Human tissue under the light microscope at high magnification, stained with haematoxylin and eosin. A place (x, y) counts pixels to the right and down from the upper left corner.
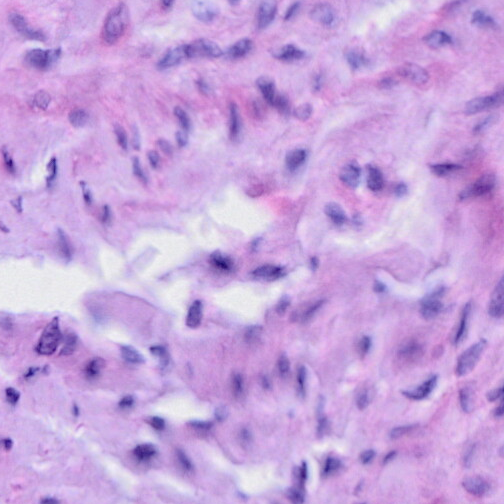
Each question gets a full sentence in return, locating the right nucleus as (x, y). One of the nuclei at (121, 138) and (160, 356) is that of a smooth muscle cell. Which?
Only the nucleus at (121, 138), of the two, belongs to a smooth muscle cell.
